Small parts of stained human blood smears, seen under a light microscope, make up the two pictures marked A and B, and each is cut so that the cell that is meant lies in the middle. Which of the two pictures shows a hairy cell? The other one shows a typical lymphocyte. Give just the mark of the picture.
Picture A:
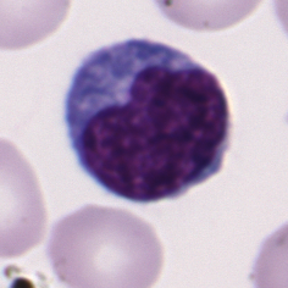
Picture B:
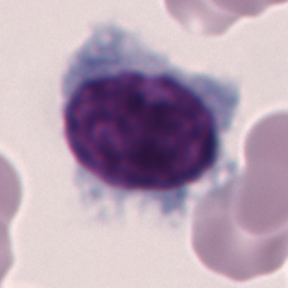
B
